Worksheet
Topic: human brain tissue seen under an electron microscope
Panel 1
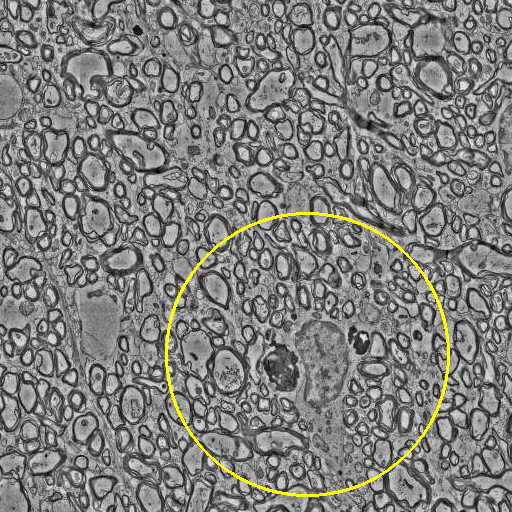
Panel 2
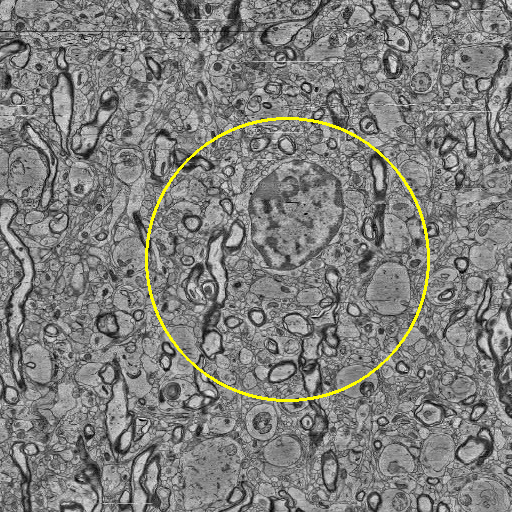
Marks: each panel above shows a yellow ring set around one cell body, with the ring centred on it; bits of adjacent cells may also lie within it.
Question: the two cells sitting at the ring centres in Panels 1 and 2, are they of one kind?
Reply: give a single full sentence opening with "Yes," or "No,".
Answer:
No, the two ring-centre cells in Panel 1 and Panel 2 are of two kinds.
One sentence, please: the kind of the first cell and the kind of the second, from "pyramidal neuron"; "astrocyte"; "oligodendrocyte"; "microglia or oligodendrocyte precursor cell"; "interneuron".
The ring in the first picture surrounds an oligodendrocyte, and the ring in the second surrounds a microglial cell or oligodendrocyte precursor cell.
